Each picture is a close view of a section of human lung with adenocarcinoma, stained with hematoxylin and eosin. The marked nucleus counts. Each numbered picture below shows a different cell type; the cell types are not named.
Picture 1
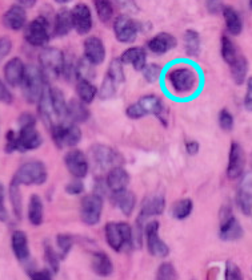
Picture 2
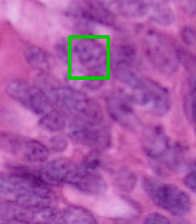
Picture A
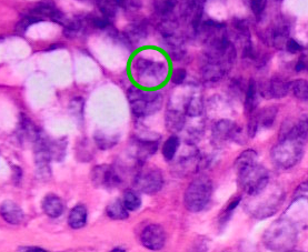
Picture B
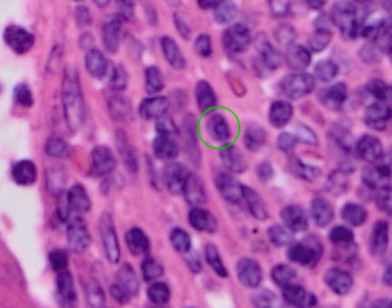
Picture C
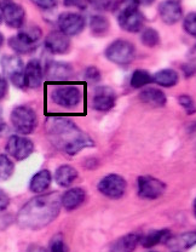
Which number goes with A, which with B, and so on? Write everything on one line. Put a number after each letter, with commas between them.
A 2, B 1, C 1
